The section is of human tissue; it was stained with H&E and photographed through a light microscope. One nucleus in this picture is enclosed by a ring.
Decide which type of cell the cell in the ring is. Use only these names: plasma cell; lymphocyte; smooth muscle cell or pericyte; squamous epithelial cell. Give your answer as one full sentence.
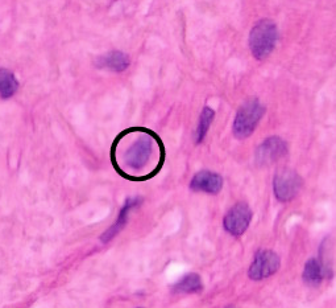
This is a smooth muscle cell or pericyte.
